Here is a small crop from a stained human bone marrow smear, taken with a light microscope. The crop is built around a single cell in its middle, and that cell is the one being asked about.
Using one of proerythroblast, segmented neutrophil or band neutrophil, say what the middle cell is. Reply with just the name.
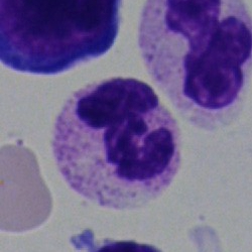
segmented neutrophil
